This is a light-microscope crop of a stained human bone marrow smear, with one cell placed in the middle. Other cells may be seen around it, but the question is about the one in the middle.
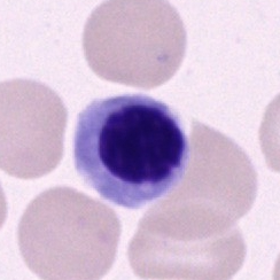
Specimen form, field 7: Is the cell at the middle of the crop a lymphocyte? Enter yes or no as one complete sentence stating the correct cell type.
No, the middle of the crop holds an erythroblast, not a lymphocyte.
